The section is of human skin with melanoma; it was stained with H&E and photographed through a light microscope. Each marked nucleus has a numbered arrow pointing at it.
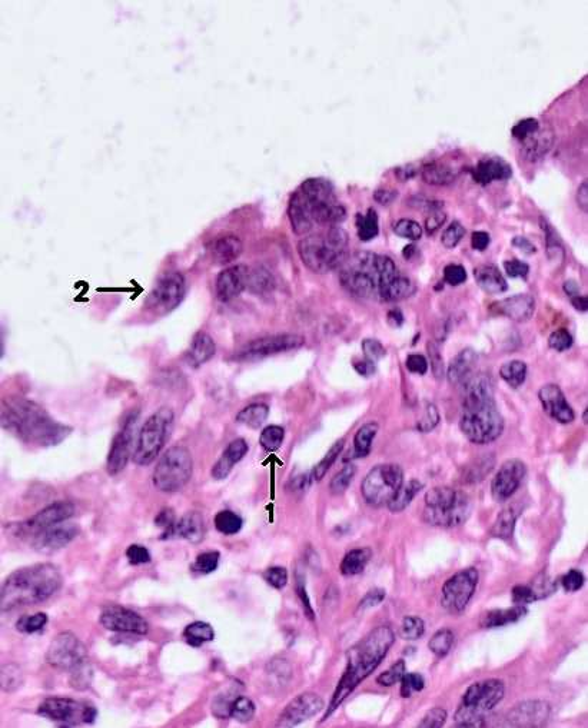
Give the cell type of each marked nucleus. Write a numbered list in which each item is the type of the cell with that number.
1. lymphocyte
2. melanoma cell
